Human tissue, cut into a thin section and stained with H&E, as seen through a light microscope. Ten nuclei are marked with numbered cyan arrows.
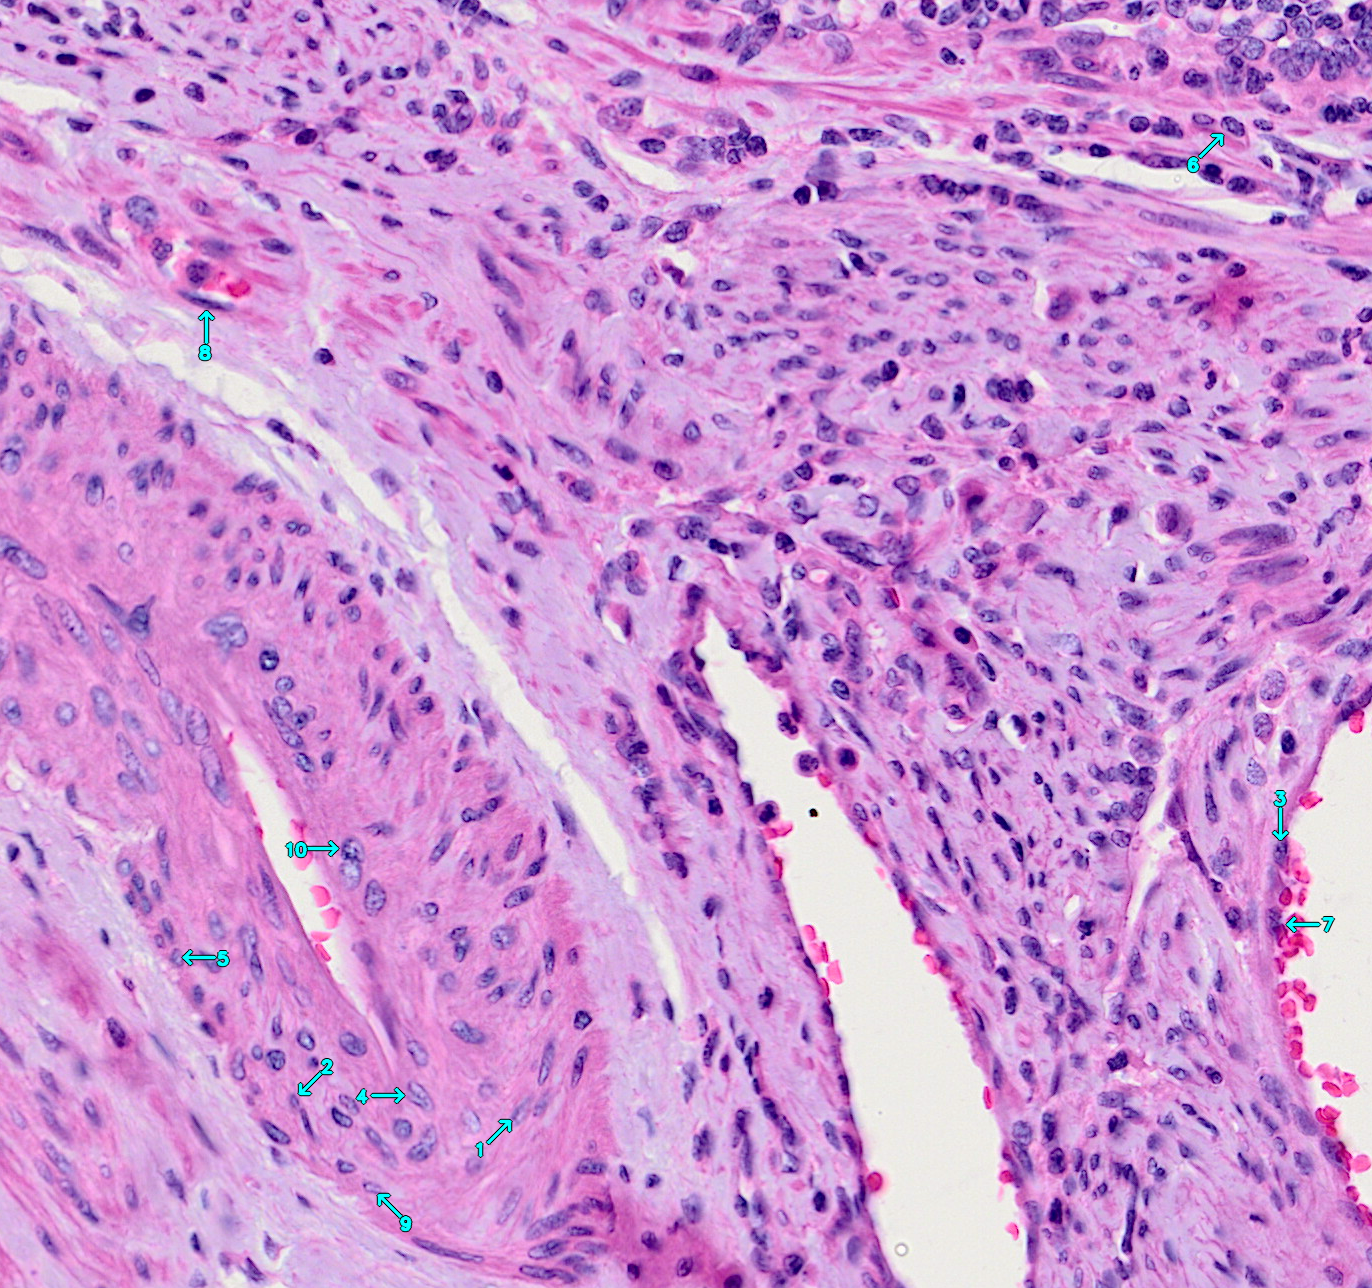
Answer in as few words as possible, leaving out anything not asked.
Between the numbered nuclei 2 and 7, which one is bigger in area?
7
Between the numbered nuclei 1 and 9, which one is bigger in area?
1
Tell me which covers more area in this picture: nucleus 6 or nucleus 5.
6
